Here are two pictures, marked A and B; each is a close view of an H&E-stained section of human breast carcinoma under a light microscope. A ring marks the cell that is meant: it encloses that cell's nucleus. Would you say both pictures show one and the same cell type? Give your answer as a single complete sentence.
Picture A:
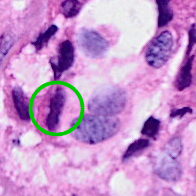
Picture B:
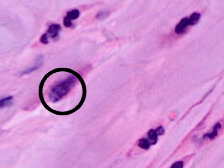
No, they differ: the cell is a carcinoma cell in picture A and a mast cell in picture B.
